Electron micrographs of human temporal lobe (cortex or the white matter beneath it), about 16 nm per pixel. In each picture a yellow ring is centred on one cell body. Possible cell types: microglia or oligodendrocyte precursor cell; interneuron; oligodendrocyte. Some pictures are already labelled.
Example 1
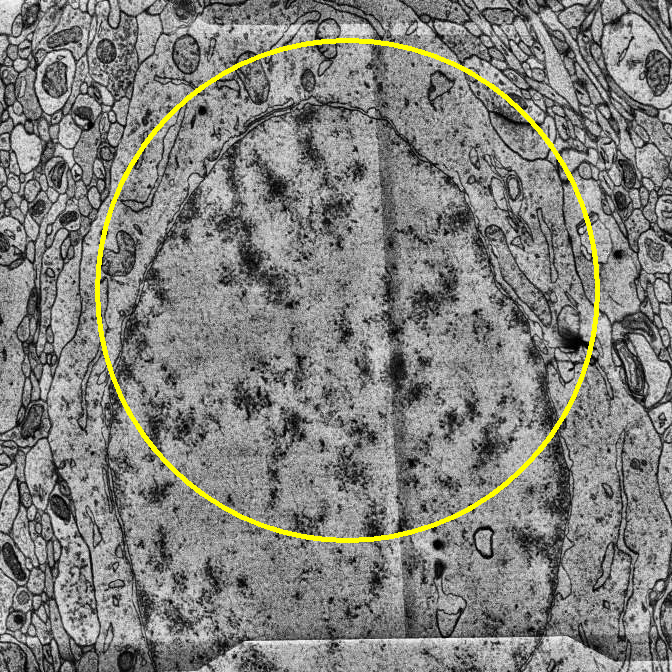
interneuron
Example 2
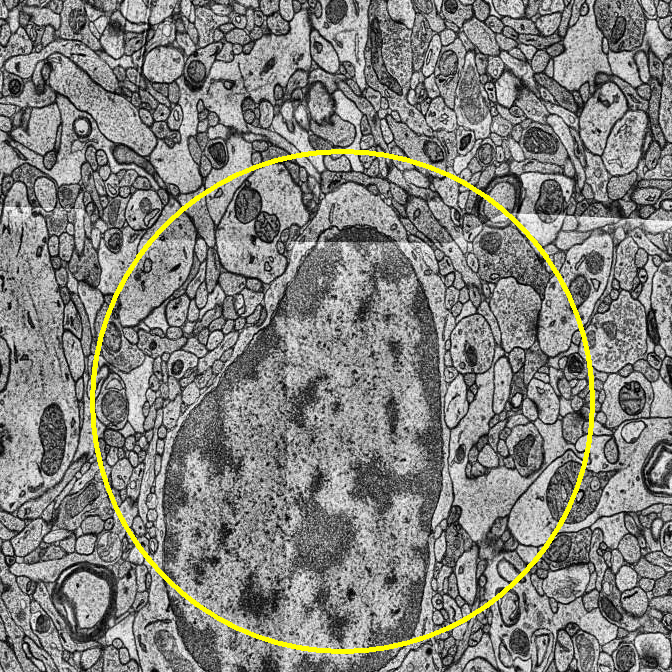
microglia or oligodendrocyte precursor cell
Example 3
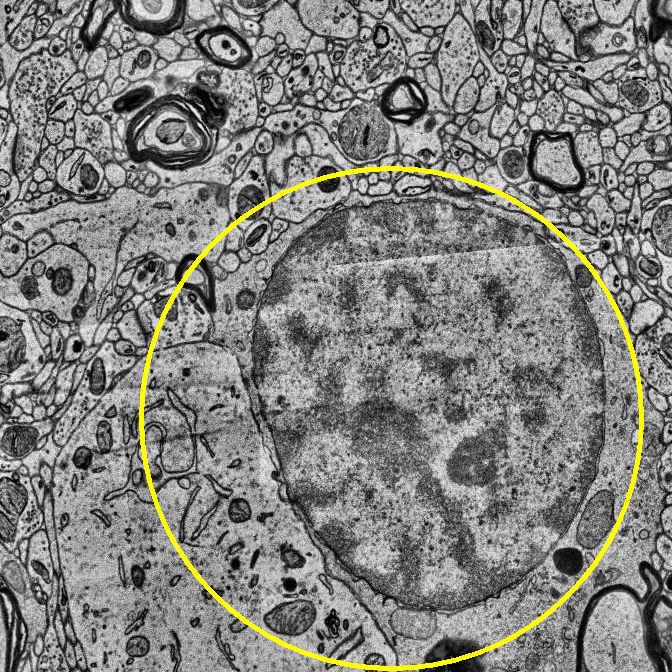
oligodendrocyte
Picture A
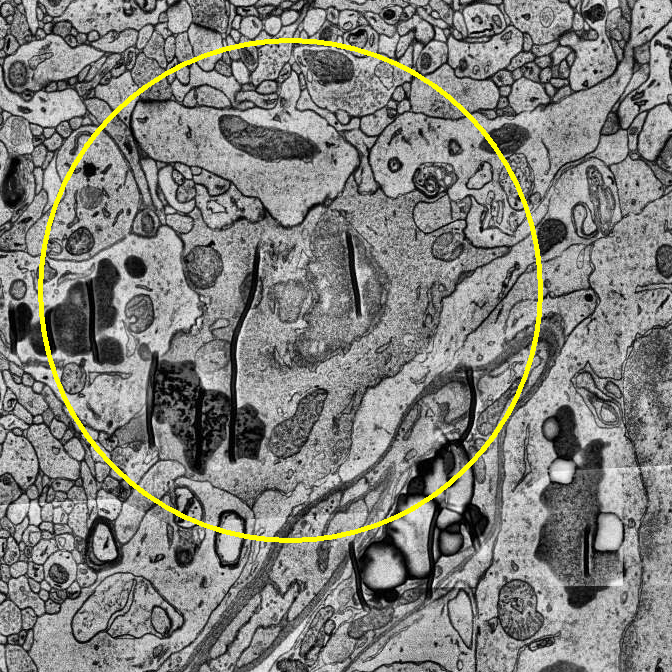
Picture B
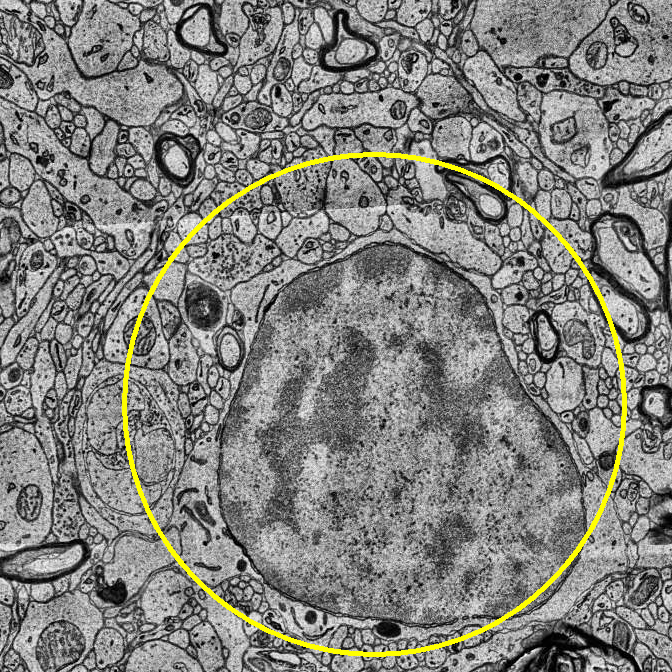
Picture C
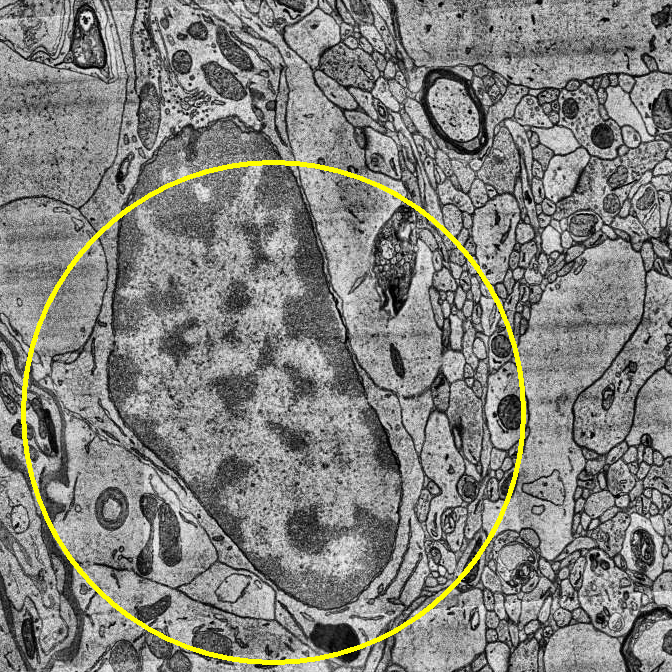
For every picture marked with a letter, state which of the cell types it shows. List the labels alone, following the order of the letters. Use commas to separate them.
oligodendrocyte, microglia or oligodendrocyte precursor cell, microglia or oligodendrocyte precursor cell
